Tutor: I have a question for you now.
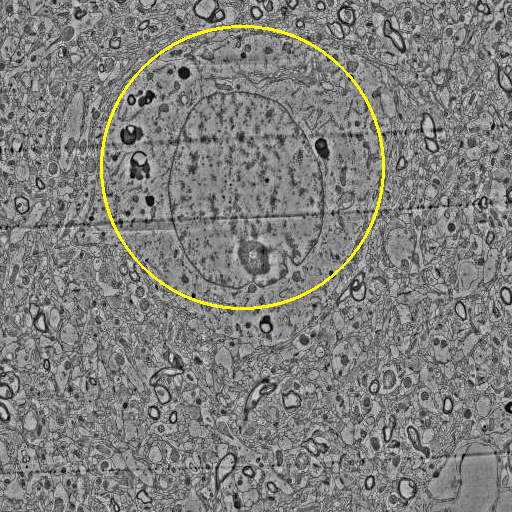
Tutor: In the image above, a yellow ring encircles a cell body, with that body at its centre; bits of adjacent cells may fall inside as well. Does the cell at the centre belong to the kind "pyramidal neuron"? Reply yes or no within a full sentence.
Yes, the cell at the centre of the yellow ring in the picture is of that kind.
